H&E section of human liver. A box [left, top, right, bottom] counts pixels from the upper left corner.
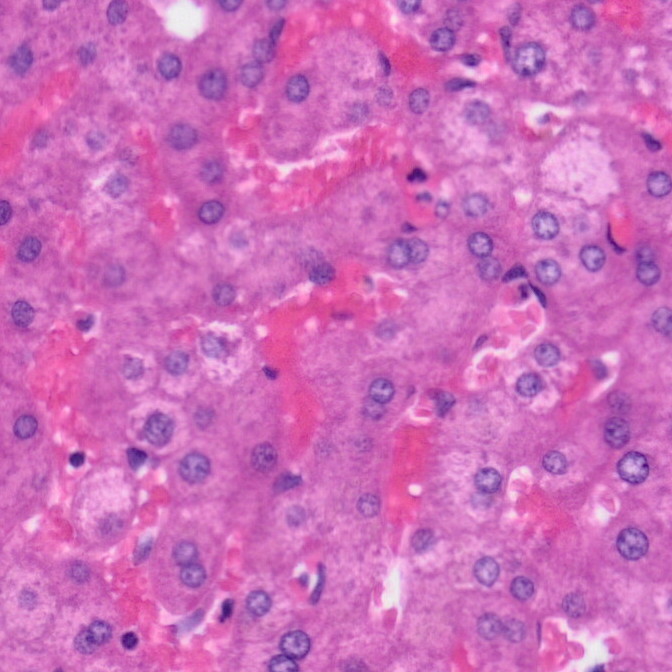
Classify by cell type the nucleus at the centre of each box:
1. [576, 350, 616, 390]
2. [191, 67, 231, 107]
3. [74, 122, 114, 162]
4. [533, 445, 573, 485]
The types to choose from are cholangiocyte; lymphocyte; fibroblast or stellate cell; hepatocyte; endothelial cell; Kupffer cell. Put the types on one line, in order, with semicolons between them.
Kupffer cell; hepatocyte; hepatocyte; hepatocyte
